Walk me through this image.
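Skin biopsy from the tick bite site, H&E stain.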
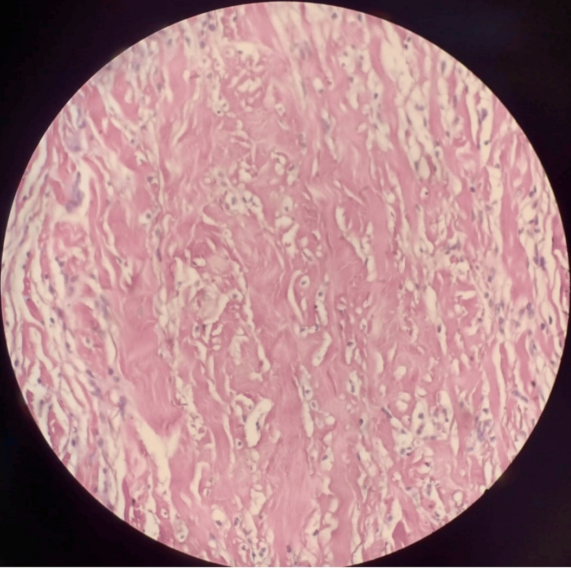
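This is dermis in which thick, deep pink collagen bundles appear glassy and homogeneous, looking hyalinized and degenerated rather than finely fibrillar. Between the bundles run pale clefts holding scattered small, dark purple nuclei of spindle-shaped and rounded cells.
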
